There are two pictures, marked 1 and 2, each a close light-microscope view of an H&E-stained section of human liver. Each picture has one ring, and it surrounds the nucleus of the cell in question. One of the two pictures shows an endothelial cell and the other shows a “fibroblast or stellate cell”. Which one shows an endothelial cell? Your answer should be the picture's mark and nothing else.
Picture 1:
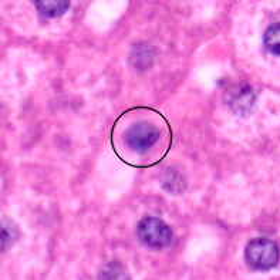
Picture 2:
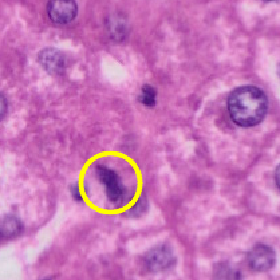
1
